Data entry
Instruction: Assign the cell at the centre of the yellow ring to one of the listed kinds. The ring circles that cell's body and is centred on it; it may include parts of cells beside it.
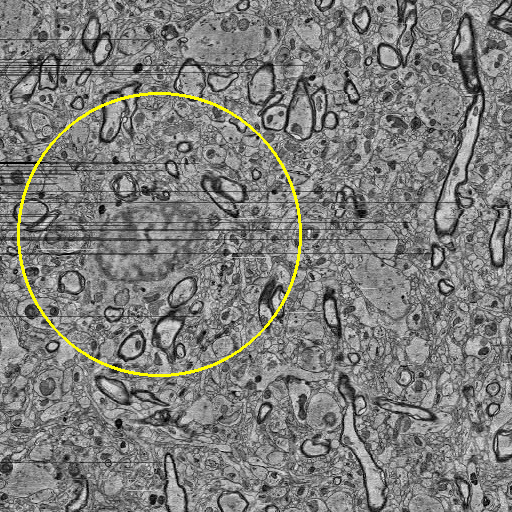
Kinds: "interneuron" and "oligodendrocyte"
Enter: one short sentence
The centre of the ring falls on an oligodendrocyte.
